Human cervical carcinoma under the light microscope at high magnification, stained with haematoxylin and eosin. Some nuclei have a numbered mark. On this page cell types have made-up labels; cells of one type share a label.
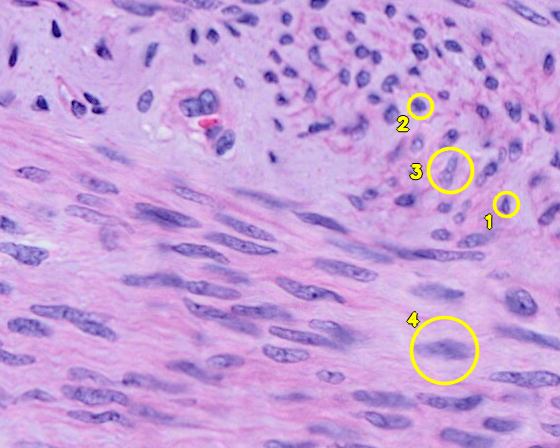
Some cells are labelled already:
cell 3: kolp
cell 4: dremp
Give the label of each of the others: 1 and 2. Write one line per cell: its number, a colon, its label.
1: kolp
2: kolp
